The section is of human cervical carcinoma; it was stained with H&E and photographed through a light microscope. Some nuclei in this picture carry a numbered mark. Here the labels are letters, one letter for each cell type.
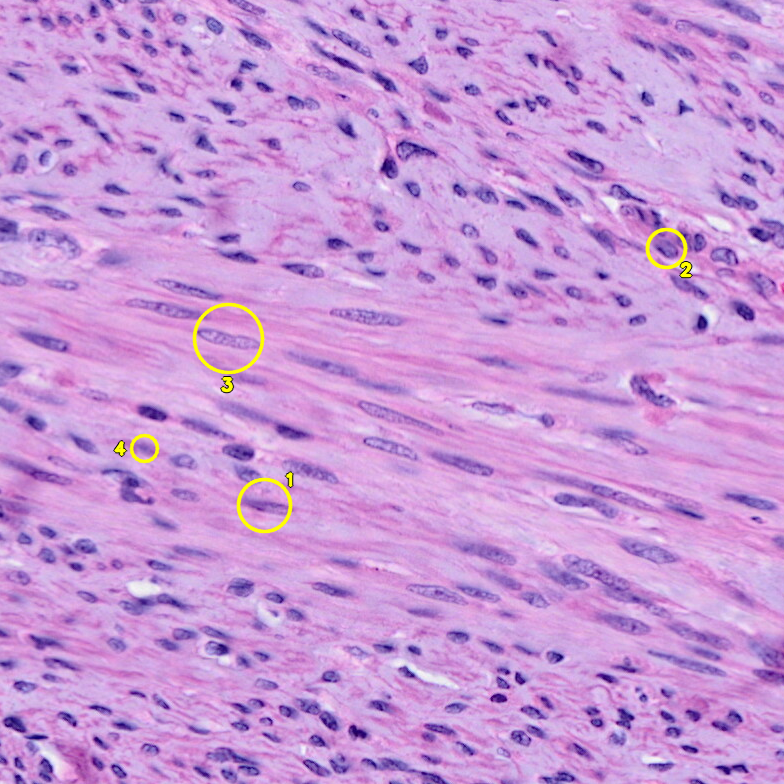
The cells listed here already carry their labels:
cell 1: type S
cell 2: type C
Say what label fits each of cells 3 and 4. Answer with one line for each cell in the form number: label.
3: type S
4: type S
